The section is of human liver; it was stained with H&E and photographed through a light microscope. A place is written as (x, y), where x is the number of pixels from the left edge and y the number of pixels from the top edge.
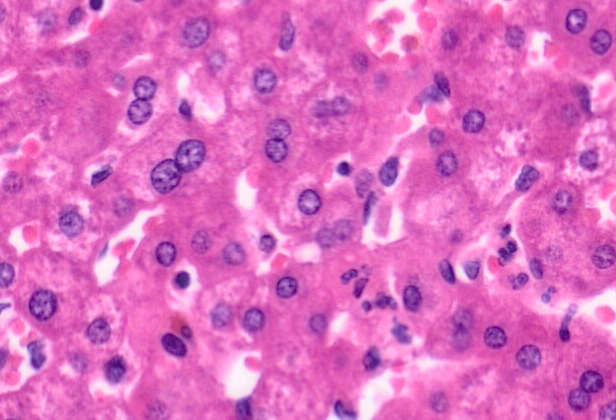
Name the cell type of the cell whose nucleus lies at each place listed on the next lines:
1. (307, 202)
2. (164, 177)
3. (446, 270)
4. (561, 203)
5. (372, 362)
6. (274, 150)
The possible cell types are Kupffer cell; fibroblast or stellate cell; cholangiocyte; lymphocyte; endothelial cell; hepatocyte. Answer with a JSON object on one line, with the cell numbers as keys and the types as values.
{"1": "hepatocyte", "2": "hepatocyte", "3": "fibroblast or stellate cell", "4": "hepatocyte", "5": "fibroblast or stellate cell", "6": "hepatocyte"}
